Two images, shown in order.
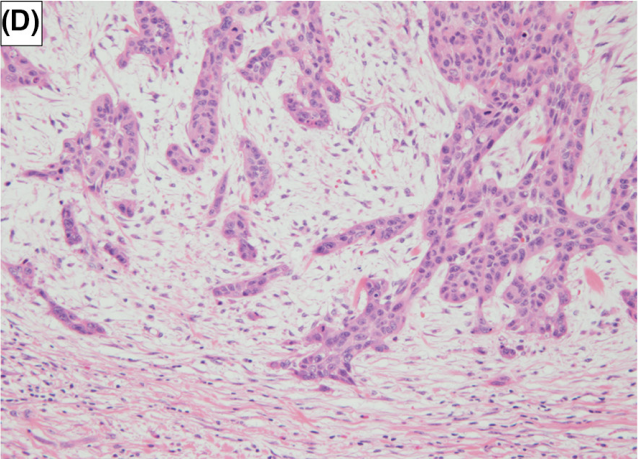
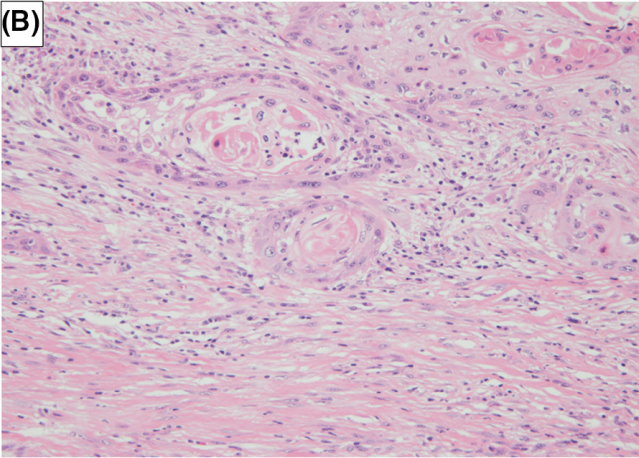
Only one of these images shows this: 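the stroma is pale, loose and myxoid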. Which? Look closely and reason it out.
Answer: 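Second image: the stroma is made of dense, parallel pink fibres with many spindle nuclei. First image: the stroma is pale and loose with sparse wispy cells and little fibre. So: the first image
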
